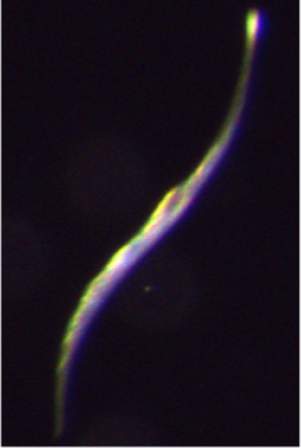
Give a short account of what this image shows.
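The body is thread-like, with a somewhat thicker middle region and a long, narrowing extension toward one end. The margins of the cell reflect light brightly, producing a shining outline with coloured fringes. No other cells are present in the field.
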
